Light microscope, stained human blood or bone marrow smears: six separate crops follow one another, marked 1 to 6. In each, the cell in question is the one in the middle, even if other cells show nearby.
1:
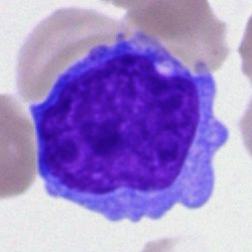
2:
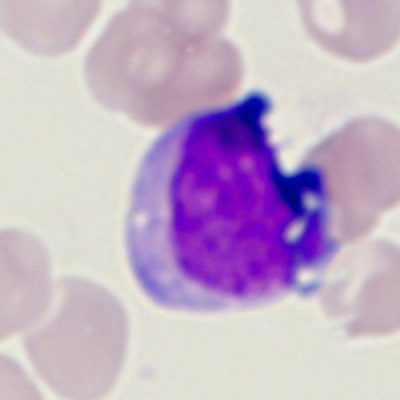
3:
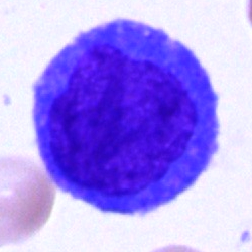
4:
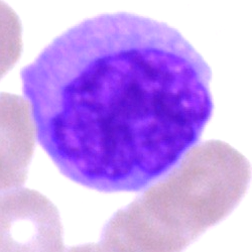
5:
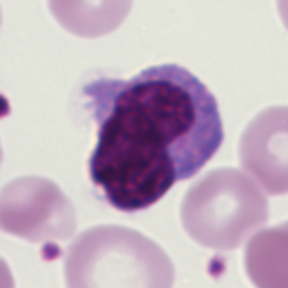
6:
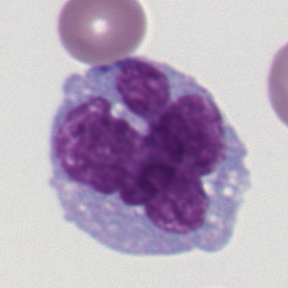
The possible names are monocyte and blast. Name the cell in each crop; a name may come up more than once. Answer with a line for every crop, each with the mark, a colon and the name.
1: blast
2: blast
3: blast
4: monocyte
5: monocyte
6: monocyte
